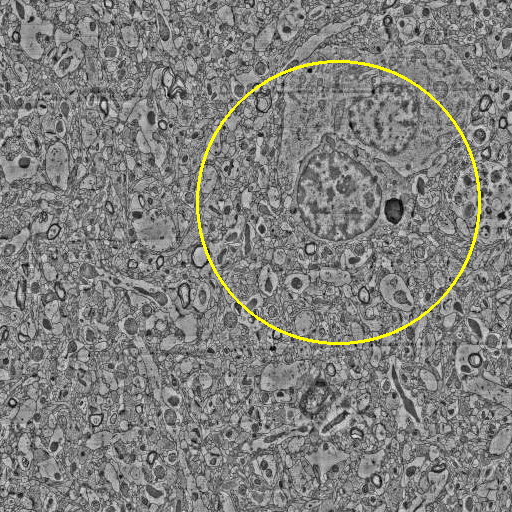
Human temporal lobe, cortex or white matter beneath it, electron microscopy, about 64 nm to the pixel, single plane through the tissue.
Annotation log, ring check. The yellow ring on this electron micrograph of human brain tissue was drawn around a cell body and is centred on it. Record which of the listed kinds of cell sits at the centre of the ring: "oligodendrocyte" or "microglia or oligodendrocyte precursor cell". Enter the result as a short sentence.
The cell at the centre of the ring is an oligodendrocyte.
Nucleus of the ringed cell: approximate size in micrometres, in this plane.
In this plane, roughly 6 micrometres across.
